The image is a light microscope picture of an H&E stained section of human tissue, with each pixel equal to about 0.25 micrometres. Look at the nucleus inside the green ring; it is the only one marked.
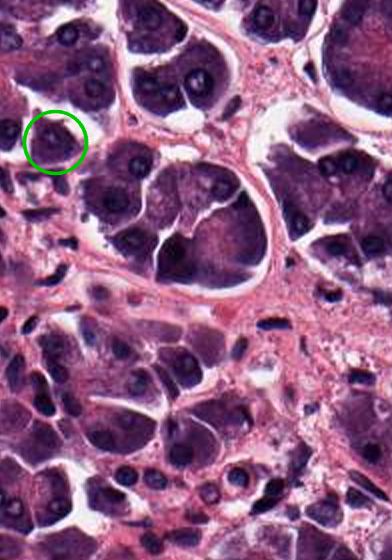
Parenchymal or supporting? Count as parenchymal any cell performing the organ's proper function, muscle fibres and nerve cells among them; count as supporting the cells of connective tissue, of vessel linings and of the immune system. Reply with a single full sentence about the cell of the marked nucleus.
This marked nucleus is part of a parenchymal cell, namely a pancreatic acinar cell.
